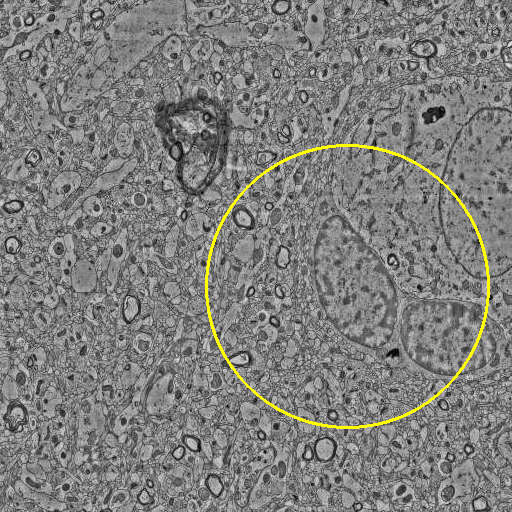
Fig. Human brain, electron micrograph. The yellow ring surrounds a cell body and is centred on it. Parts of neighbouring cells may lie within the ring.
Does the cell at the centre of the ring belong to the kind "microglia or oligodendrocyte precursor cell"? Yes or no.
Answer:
no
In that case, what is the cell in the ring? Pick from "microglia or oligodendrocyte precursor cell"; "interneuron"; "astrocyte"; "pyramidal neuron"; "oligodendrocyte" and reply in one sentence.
The ring holds an oligodendrocyte at its centre.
